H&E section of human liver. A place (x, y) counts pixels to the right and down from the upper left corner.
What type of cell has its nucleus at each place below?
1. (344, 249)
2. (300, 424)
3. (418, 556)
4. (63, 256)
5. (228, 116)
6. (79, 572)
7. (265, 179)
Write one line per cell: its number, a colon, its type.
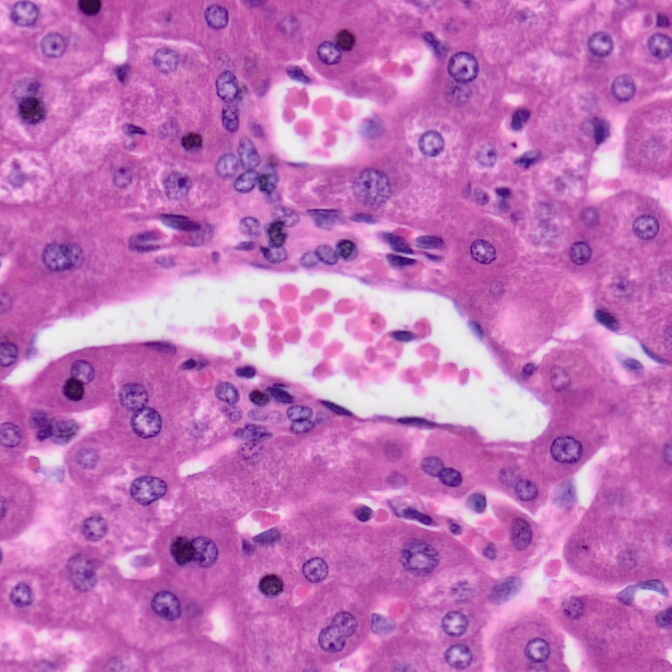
1: cholangiocyte
2: cholangiocyte
3: hepatocyte
4: hepatocyte
5: cholangiocyte
6: hepatocyte
7: cholangiocyte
